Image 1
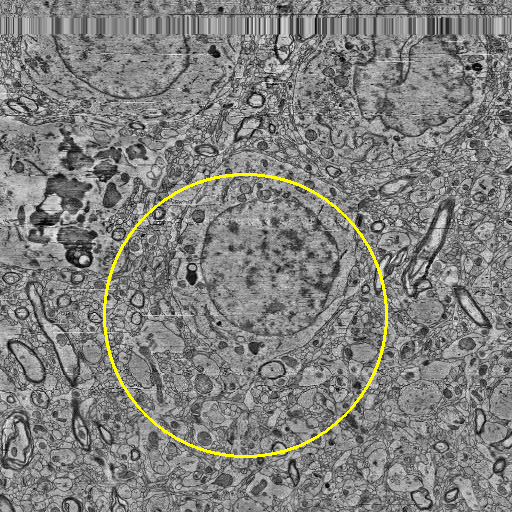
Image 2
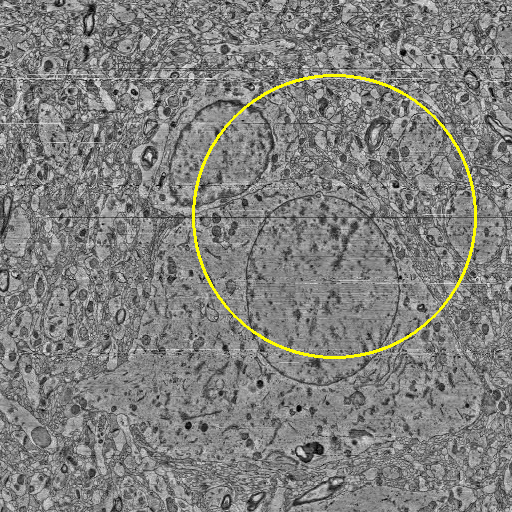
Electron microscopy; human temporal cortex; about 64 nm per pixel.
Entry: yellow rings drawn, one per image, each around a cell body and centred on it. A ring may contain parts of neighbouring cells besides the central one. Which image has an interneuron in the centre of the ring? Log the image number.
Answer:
1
